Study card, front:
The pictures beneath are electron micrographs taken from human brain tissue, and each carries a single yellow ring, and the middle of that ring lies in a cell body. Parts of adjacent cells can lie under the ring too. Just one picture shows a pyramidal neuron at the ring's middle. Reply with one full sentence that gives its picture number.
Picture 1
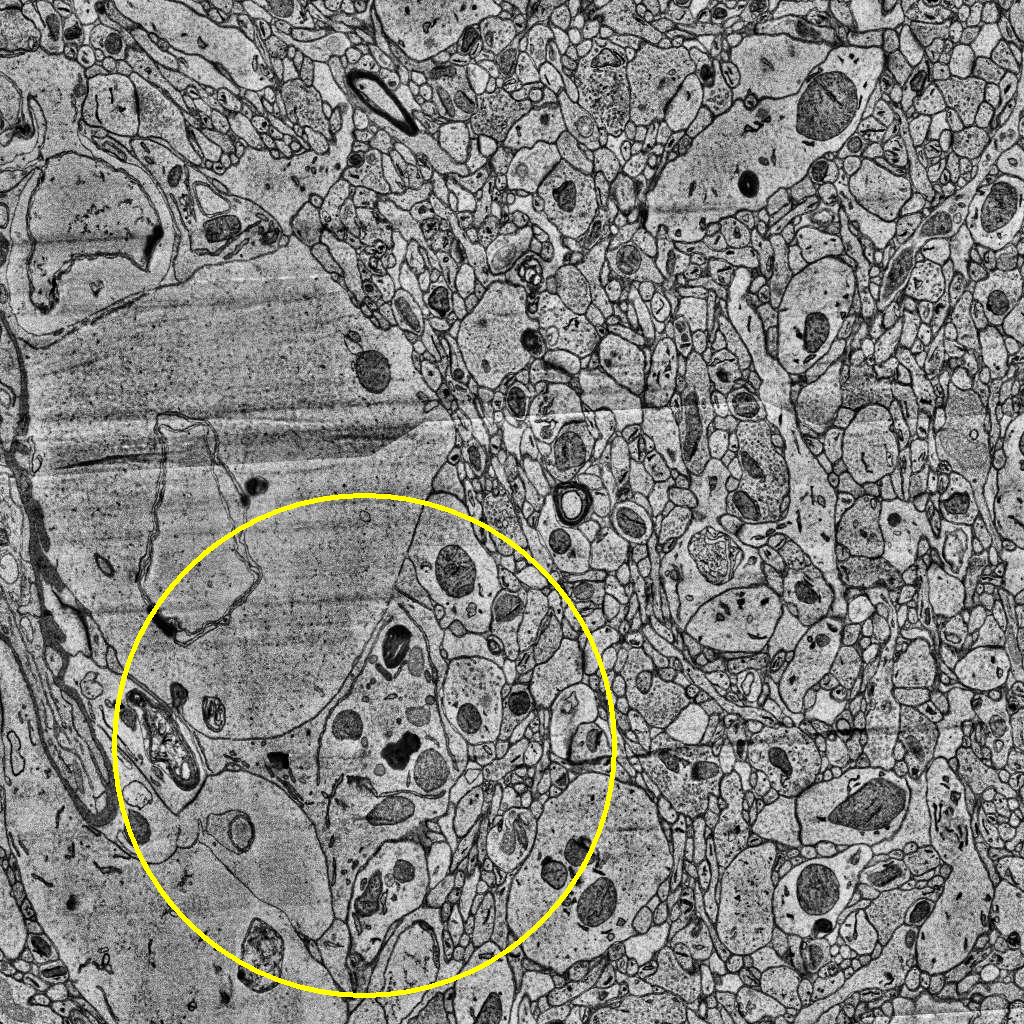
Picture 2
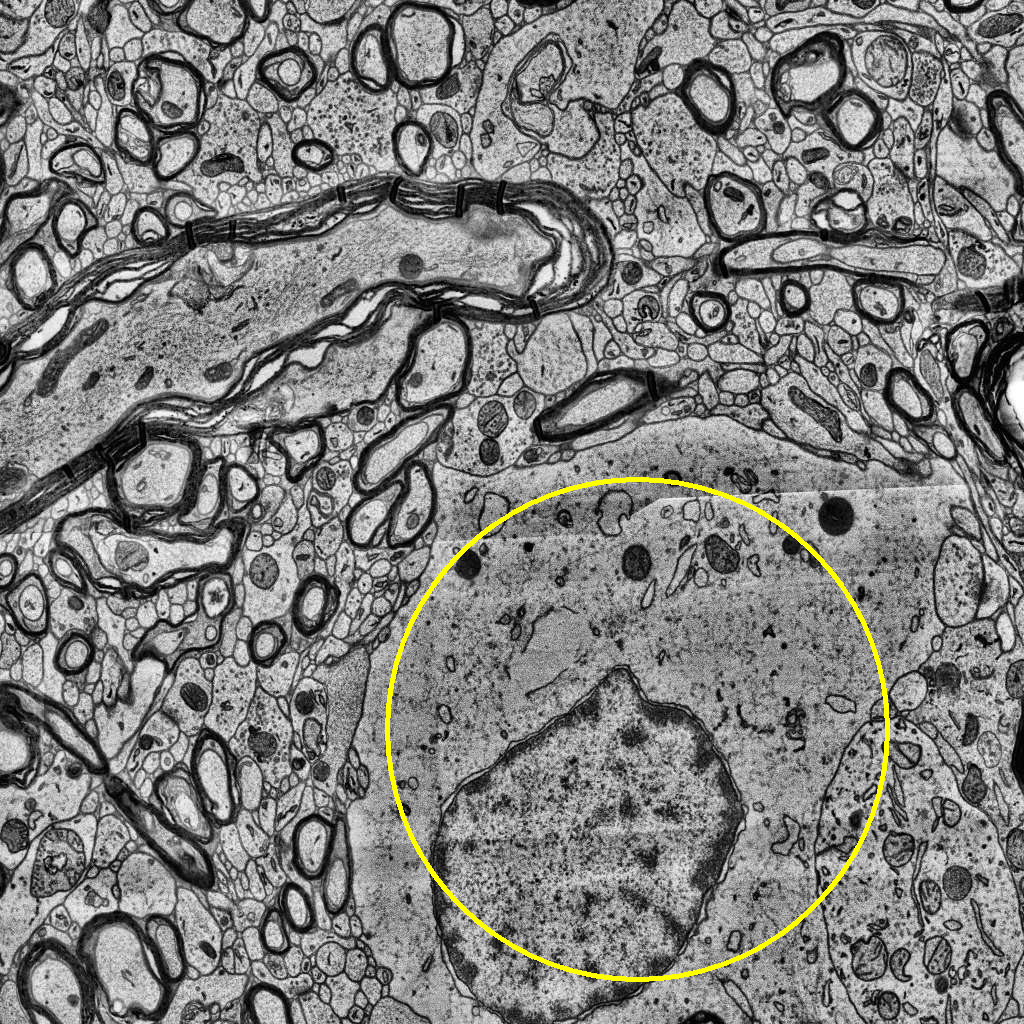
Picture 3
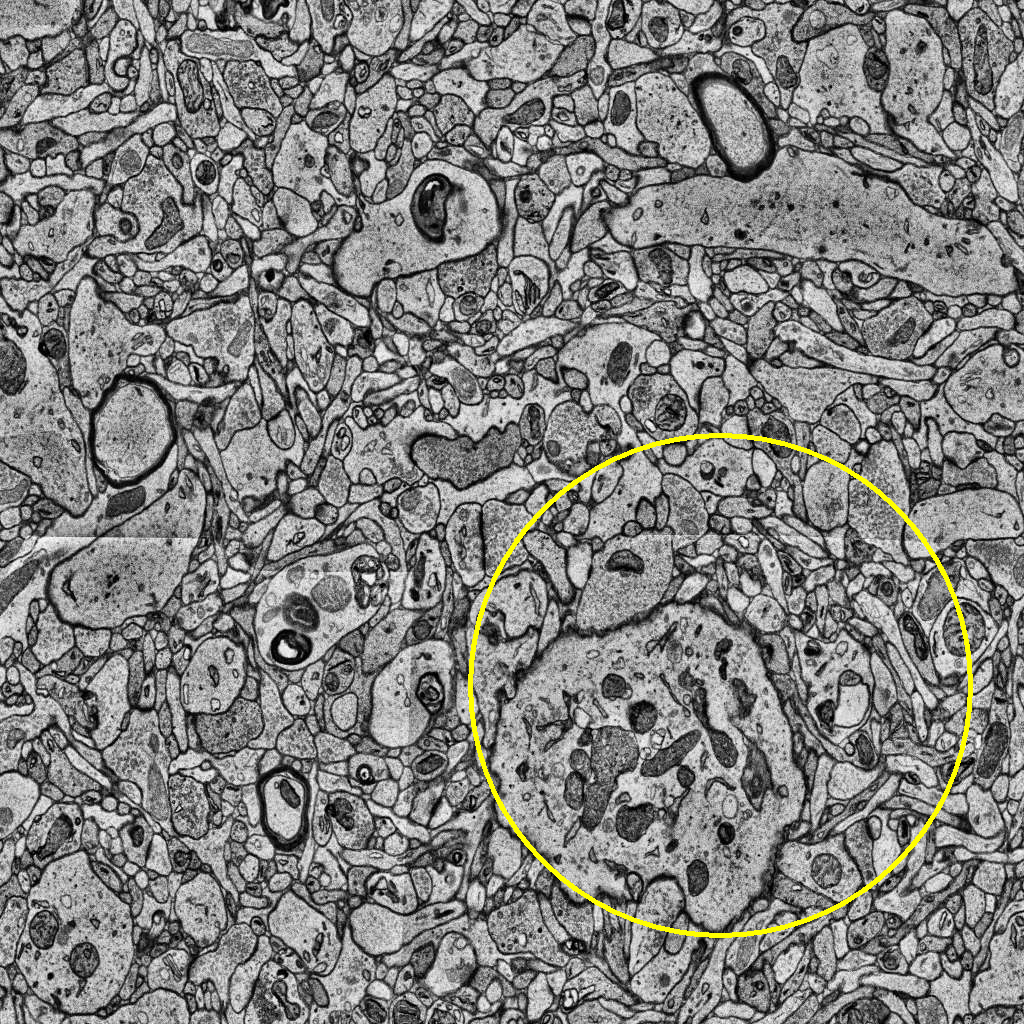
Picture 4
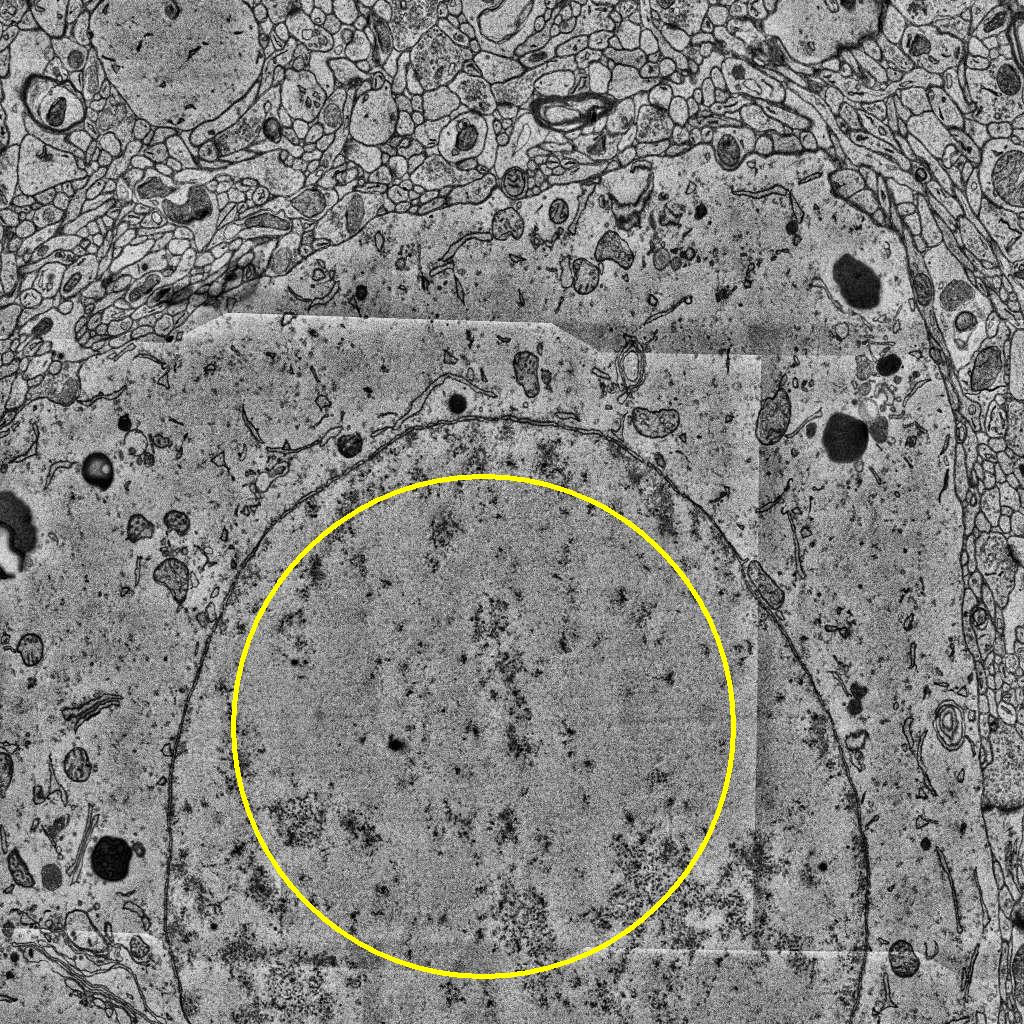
Picture 4 is the one whose ring has its centre within the requested cell.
